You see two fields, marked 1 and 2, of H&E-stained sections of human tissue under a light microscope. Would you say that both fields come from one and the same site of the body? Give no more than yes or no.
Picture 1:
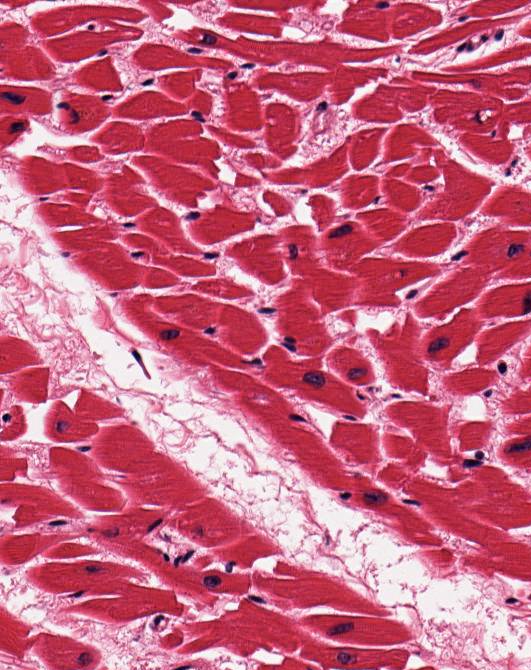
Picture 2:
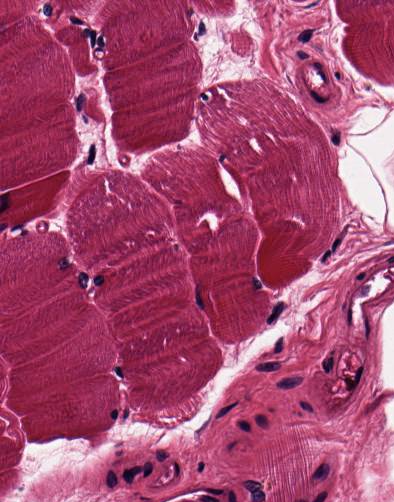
no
